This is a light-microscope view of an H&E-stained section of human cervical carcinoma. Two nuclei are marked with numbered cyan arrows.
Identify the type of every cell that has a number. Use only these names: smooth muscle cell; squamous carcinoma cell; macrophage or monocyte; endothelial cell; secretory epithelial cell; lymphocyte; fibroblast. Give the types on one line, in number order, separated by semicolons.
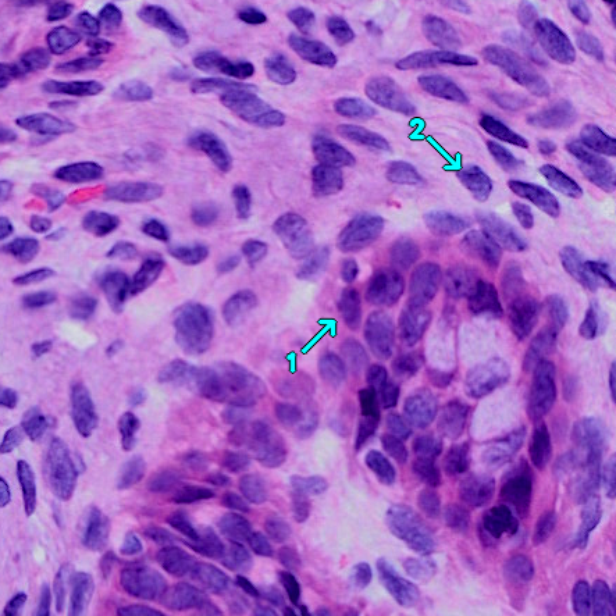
secretory epithelial cell; fibroblast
